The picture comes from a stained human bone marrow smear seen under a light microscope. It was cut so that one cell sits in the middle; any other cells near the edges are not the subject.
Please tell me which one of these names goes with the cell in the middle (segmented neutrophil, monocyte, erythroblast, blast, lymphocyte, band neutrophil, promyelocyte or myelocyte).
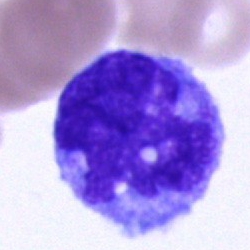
monocyte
